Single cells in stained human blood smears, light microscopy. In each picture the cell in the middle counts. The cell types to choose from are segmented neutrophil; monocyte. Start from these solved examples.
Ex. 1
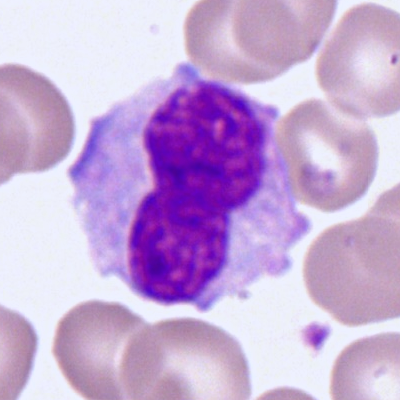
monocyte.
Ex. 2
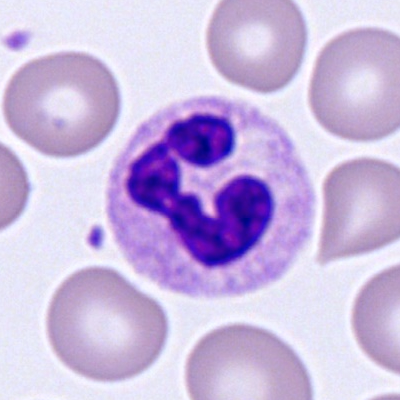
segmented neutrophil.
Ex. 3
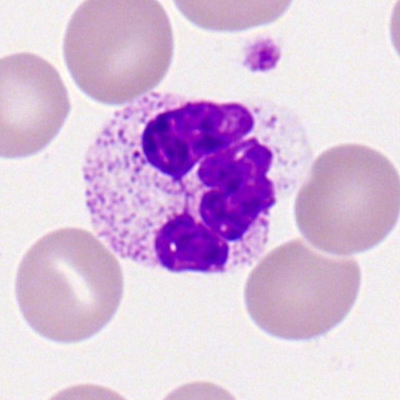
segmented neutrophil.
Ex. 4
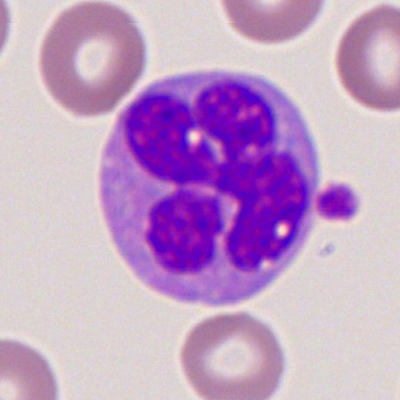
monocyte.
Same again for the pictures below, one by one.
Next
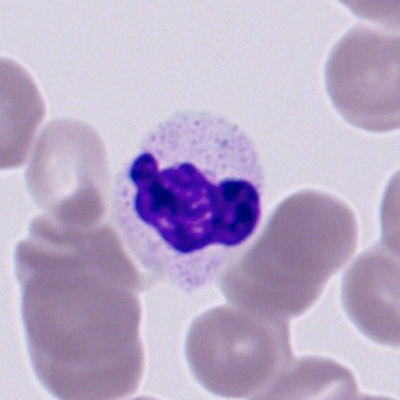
segmented neutrophil.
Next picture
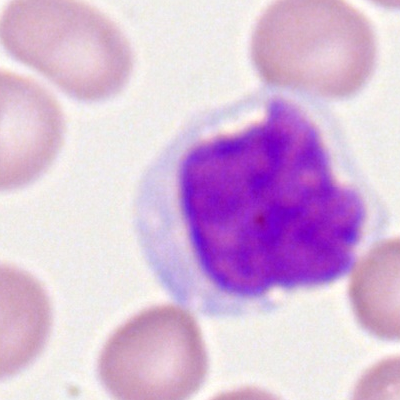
monocyte.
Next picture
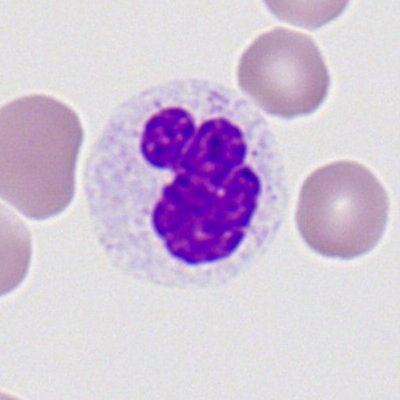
segmented neutrophil.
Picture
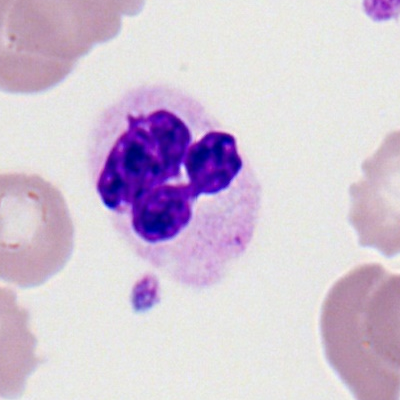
segmented neutrophil.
